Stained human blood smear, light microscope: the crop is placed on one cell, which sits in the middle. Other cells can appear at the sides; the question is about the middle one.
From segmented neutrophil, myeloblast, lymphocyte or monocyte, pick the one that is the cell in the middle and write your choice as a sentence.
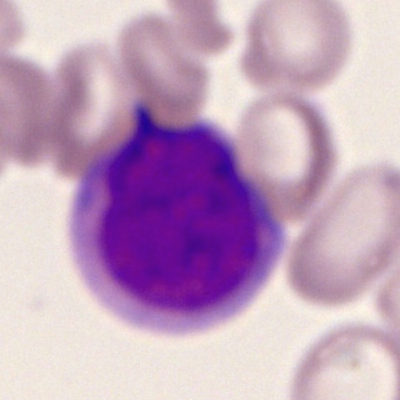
In short, the cell at the center is a myeloblast.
